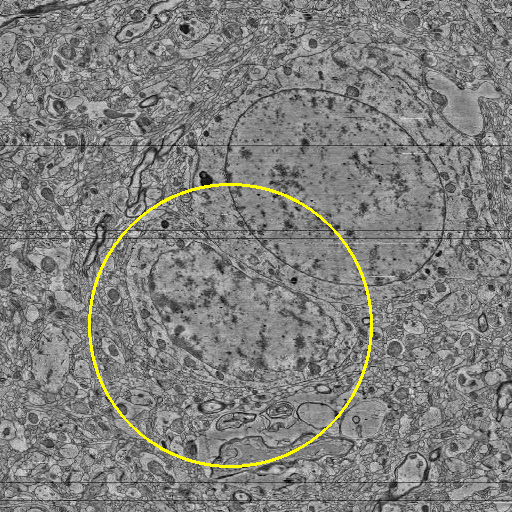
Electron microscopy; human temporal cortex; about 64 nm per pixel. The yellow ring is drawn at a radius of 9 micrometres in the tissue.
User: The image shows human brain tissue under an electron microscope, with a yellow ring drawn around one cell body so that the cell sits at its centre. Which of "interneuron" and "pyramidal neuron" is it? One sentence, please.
At the centre of the ring sits an interneuron.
